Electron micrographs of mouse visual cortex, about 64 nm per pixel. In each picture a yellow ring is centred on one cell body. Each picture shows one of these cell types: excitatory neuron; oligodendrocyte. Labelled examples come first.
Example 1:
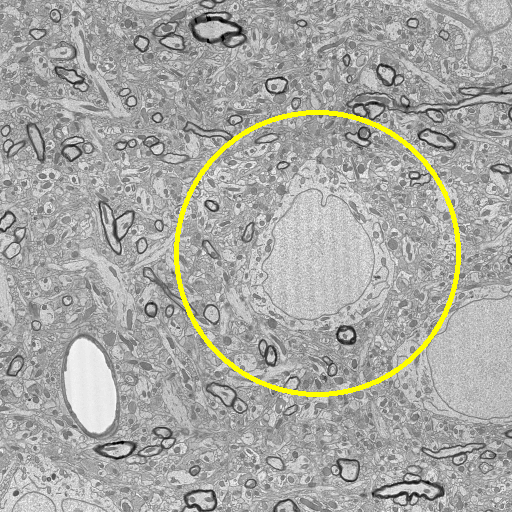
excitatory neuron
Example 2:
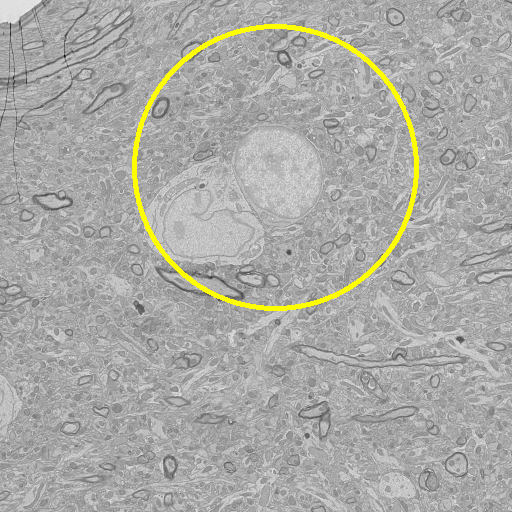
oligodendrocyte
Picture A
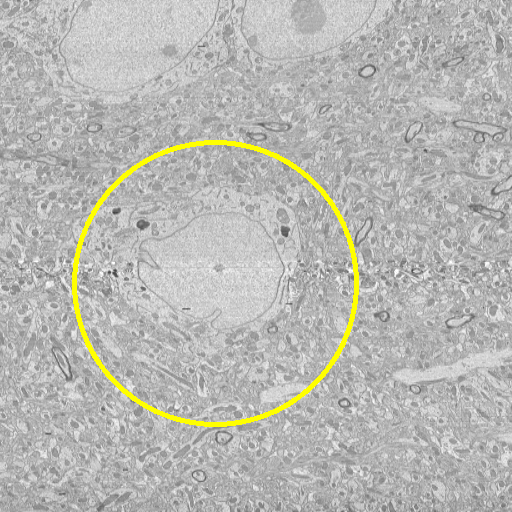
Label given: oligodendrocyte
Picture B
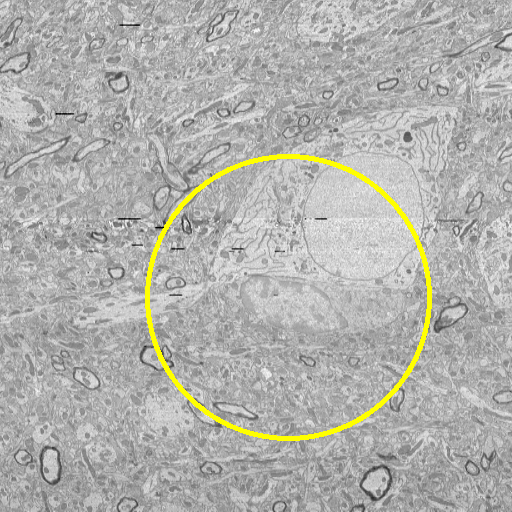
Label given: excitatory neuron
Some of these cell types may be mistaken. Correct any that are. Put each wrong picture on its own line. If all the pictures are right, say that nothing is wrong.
A is labelled oligodendrocyte; correct label: excitatory neuron
B is labelled excitatory neuron; correct label: oligodendrocyte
